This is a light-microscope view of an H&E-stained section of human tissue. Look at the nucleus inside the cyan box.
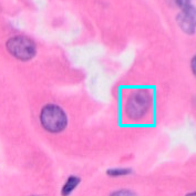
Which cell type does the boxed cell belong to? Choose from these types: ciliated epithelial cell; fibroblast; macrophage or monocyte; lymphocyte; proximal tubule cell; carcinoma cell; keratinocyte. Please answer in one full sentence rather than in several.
In this field of tissue, the boxed cell is a proximal tubule cell.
